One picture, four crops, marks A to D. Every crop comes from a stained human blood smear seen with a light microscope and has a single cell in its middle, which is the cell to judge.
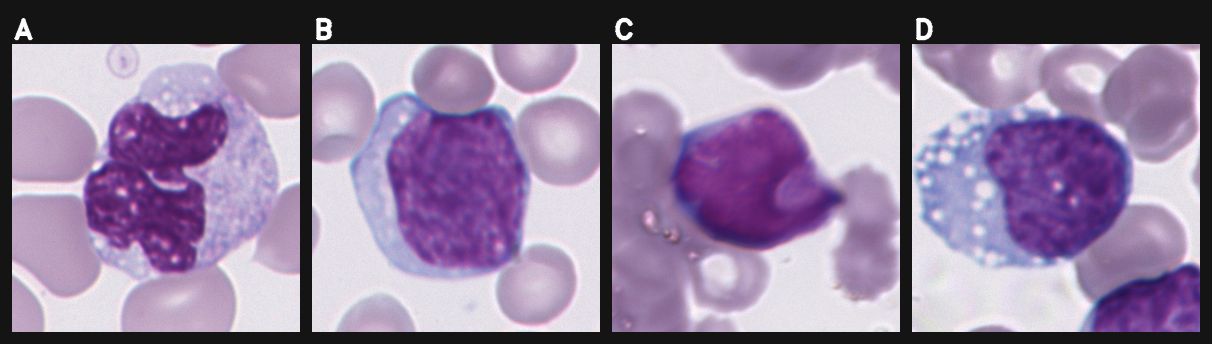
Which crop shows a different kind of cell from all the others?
A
